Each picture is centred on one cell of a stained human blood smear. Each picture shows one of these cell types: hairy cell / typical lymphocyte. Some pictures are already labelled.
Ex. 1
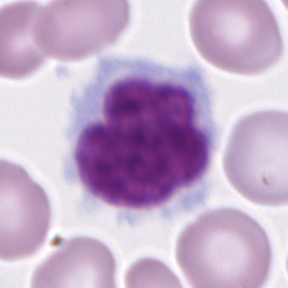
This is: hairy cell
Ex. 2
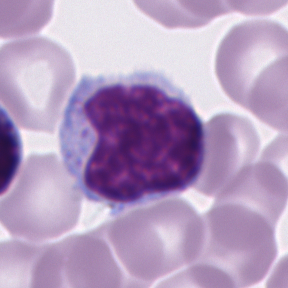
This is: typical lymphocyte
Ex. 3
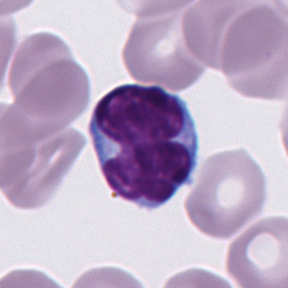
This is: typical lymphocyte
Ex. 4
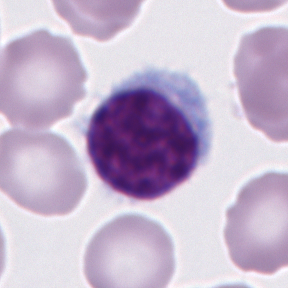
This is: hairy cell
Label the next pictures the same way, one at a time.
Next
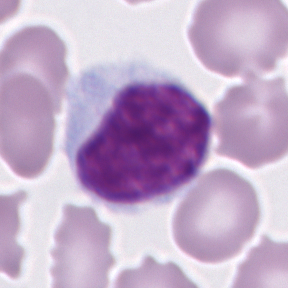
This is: hairy cell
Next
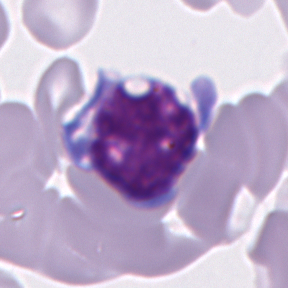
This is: typical lymphocyte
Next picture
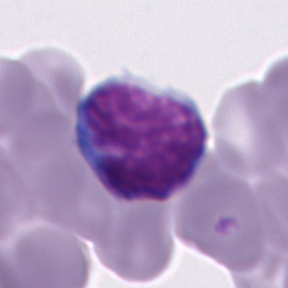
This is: typical lymphocyte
